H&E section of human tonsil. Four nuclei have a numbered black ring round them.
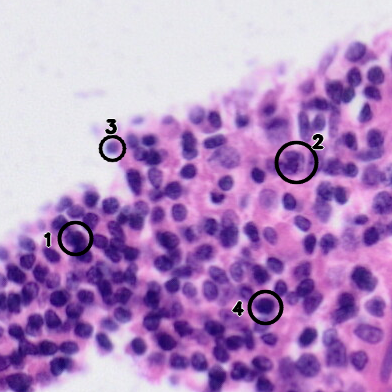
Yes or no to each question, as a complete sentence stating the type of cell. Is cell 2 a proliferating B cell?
Yes, the cell bearing the number 2 is a proliferating B cell.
